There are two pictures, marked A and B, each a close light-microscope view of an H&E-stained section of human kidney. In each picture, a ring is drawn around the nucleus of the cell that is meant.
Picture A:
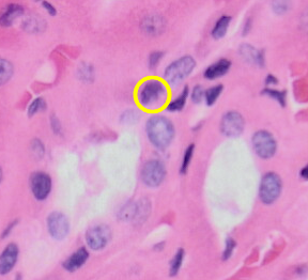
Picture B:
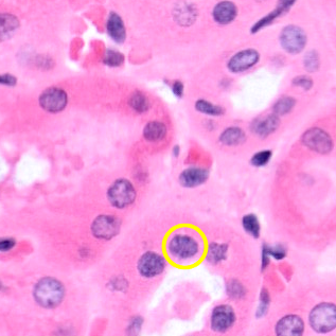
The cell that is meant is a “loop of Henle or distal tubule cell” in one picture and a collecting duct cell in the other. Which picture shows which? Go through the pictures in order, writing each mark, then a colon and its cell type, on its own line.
A: collecting duct cell
B: loop of Henle or distal tubule cell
